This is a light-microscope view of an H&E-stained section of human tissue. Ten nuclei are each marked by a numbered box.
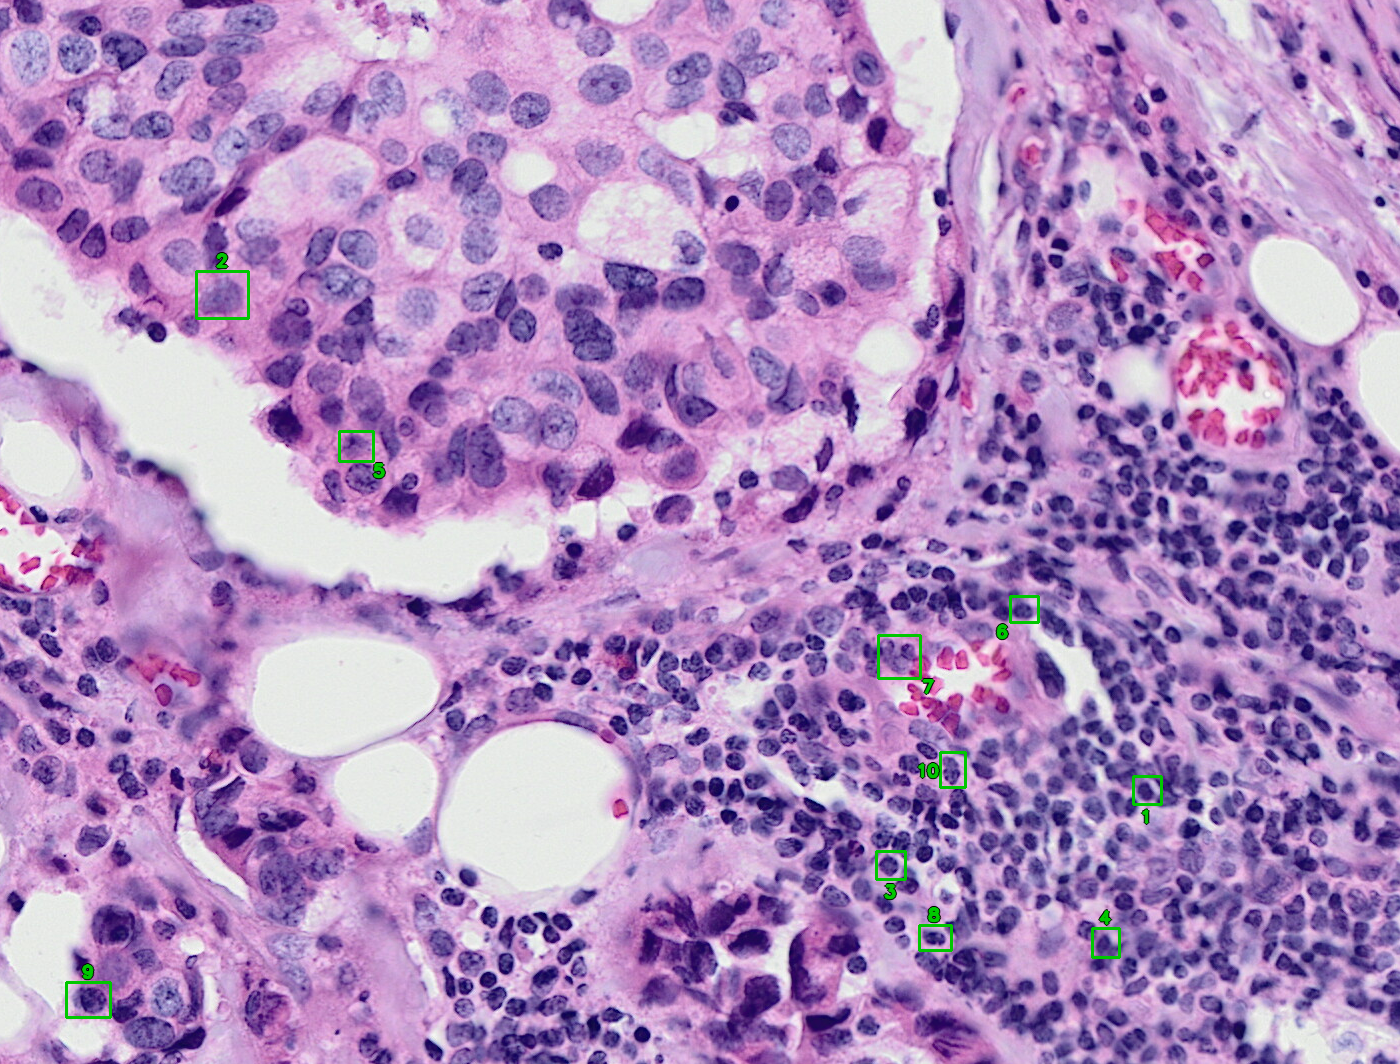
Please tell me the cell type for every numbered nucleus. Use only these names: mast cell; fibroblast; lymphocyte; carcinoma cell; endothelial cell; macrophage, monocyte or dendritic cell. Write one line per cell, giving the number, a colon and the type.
1: lymphocyte
2: carcinoma cell
3: lymphocyte
4: lymphocyte
5: carcinoma cell
6: lymphocyte
7: endothelial cell
8: lymphocyte
9: carcinoma cell
10: lymphocyte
